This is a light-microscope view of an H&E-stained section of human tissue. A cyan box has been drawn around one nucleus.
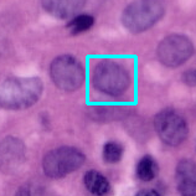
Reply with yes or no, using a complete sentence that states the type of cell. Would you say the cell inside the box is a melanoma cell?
No, the cell inside the box is not a melanoma cell, being instead a squamous epithelial cell.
